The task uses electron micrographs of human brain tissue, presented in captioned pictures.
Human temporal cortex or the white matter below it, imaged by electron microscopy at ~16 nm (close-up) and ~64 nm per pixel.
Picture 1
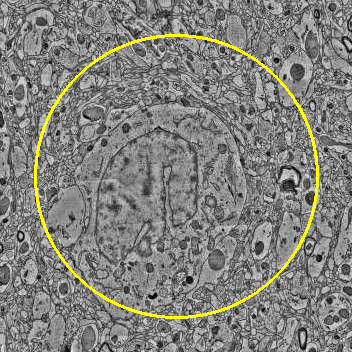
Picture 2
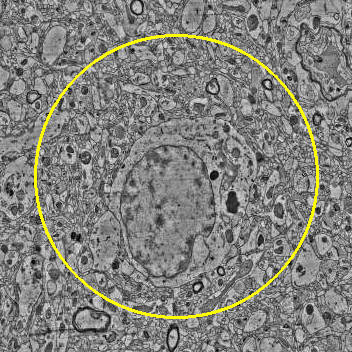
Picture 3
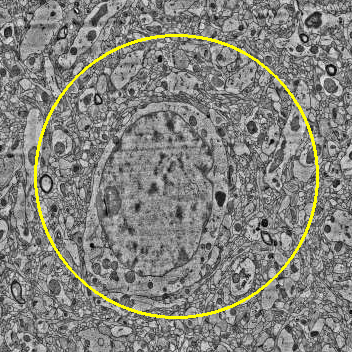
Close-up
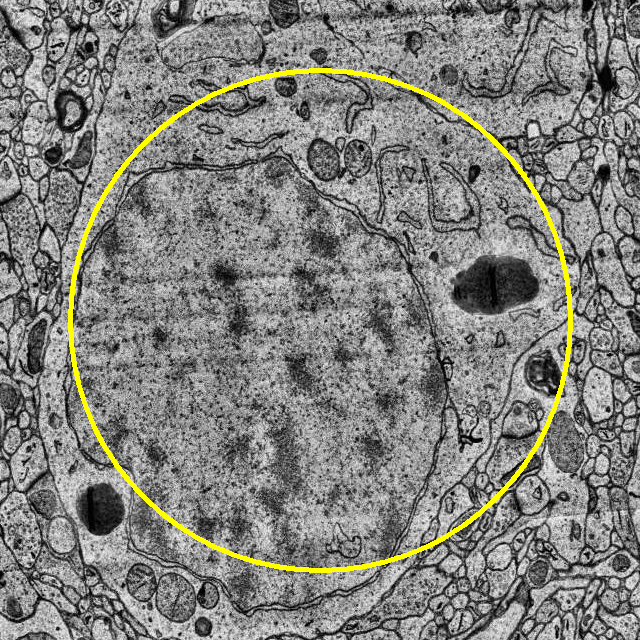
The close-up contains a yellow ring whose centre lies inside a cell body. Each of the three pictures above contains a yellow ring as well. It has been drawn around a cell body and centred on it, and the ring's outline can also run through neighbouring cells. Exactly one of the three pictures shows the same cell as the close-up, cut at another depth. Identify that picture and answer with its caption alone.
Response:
Picture 3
